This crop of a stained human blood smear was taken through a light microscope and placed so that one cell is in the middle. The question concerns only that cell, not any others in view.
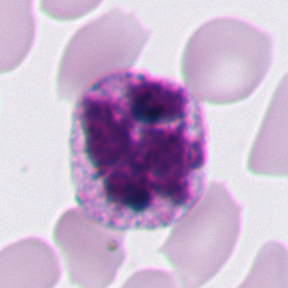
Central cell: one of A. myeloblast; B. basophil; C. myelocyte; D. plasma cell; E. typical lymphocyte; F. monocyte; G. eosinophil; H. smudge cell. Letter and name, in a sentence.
The centered cell is a basophil, which is why option B is right.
